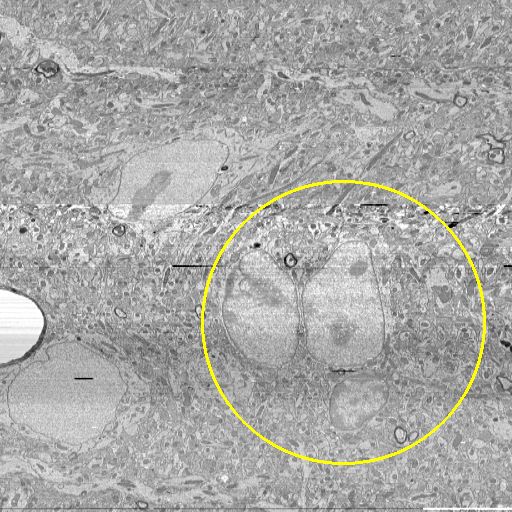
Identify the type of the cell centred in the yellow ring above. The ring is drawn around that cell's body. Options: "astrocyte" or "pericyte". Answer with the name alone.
astrocyte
